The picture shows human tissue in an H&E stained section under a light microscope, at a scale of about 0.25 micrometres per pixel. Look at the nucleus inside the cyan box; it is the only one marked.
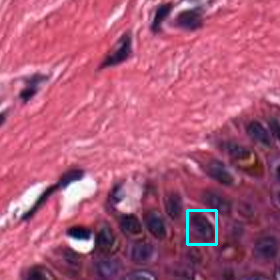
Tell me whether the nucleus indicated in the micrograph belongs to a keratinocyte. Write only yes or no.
yes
